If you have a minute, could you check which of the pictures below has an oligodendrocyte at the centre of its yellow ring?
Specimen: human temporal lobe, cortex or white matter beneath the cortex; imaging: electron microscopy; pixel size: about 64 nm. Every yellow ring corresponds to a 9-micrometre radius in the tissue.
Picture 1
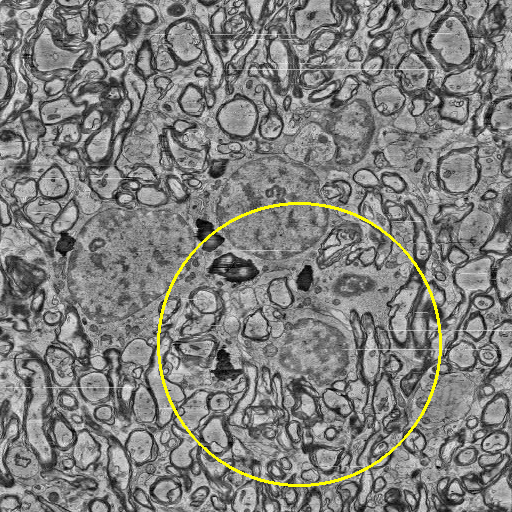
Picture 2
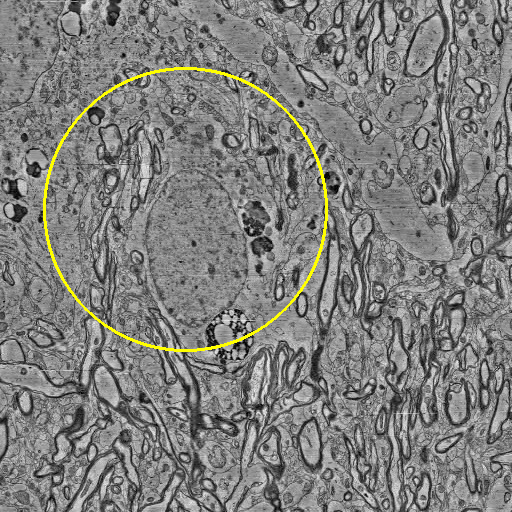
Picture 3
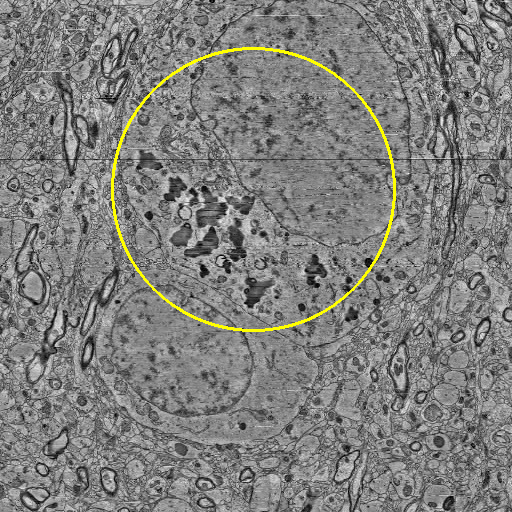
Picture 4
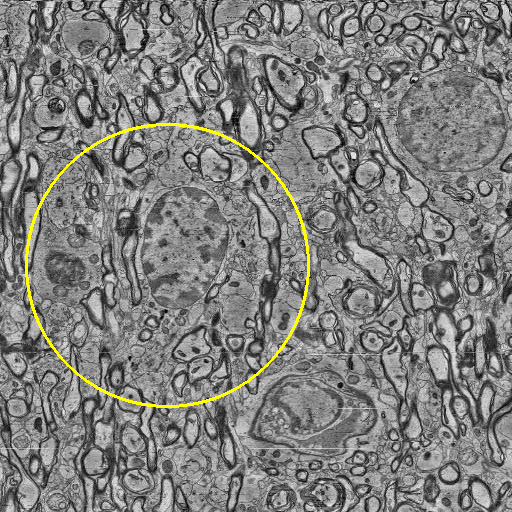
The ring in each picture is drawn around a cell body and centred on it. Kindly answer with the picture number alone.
1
